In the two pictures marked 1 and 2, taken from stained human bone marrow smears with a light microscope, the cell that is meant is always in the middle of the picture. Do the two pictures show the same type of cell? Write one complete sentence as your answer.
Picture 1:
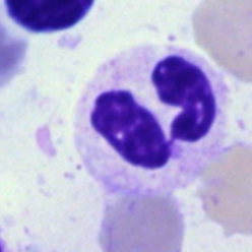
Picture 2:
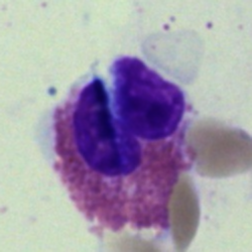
No, the types are not the same, since picture 1 shows a segmented neutrophil and picture 2 an eosinophil.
